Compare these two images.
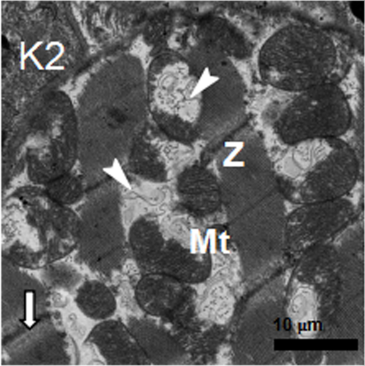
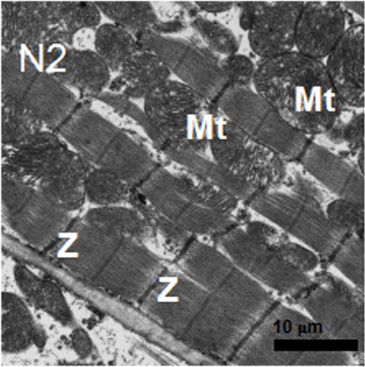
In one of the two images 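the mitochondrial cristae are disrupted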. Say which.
The first image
